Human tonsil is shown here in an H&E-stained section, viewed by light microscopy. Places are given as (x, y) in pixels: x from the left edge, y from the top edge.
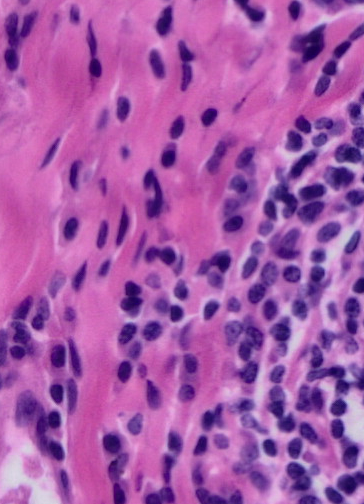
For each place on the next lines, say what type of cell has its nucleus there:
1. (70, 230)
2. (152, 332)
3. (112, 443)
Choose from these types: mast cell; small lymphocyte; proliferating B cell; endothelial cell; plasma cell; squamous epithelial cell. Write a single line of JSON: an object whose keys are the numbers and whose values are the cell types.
{"1": "mast cell", "2": "plasma cell", "3": "plasma cell"}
